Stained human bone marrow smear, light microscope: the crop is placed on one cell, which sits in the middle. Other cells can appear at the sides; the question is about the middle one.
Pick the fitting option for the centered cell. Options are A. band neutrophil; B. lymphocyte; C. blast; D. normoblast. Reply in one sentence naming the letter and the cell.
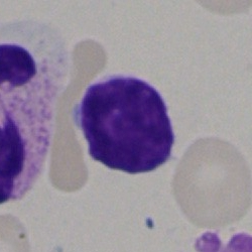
The cell occupying the centre is a lymphocyte; option B is thus the correct choice.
